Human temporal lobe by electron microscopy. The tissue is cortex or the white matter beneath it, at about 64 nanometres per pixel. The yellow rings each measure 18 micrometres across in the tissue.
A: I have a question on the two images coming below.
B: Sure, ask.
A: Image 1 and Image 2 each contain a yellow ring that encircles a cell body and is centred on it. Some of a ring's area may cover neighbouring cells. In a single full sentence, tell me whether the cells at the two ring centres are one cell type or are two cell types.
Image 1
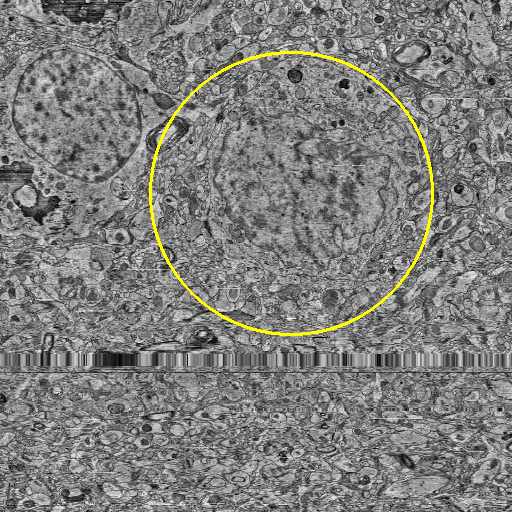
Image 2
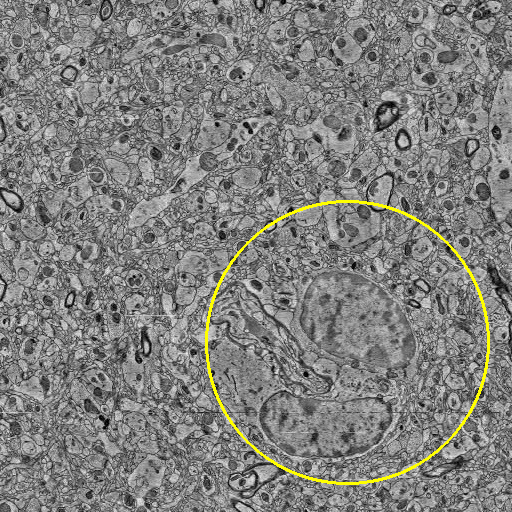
As for the ring-centre cells, the one in Image 1 and the one in Image 2 are two cell types.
